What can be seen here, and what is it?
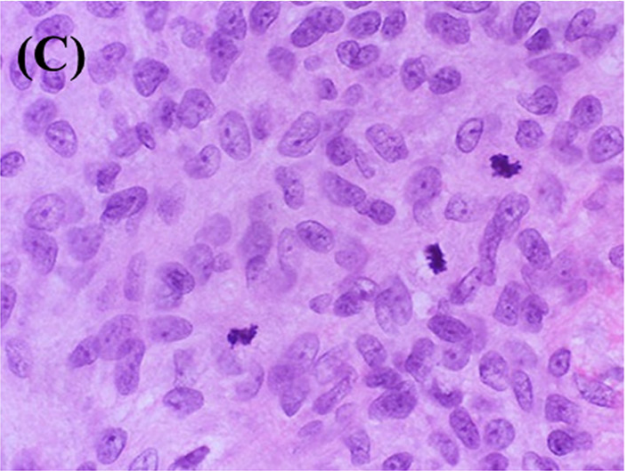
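Densely packed tumor cells with oval to elongated, pale vesicular nuclei with fine chromatin and small nucleoli lie in pale pink cytoplasm without clear cell borders. Among them a few cells hold dark, compact, irregular clumps of condensed chromosomes with no nuclear outline.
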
